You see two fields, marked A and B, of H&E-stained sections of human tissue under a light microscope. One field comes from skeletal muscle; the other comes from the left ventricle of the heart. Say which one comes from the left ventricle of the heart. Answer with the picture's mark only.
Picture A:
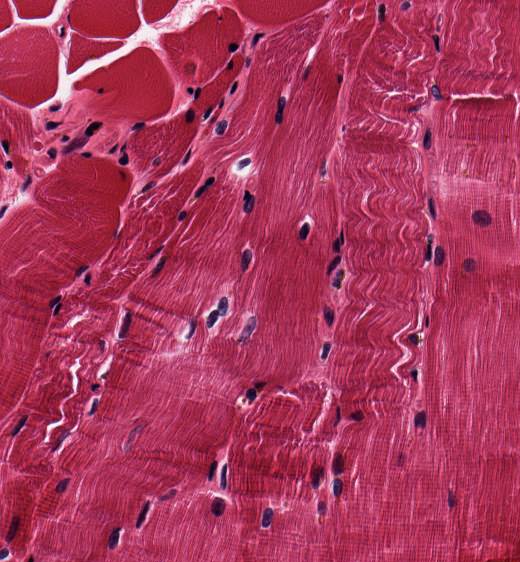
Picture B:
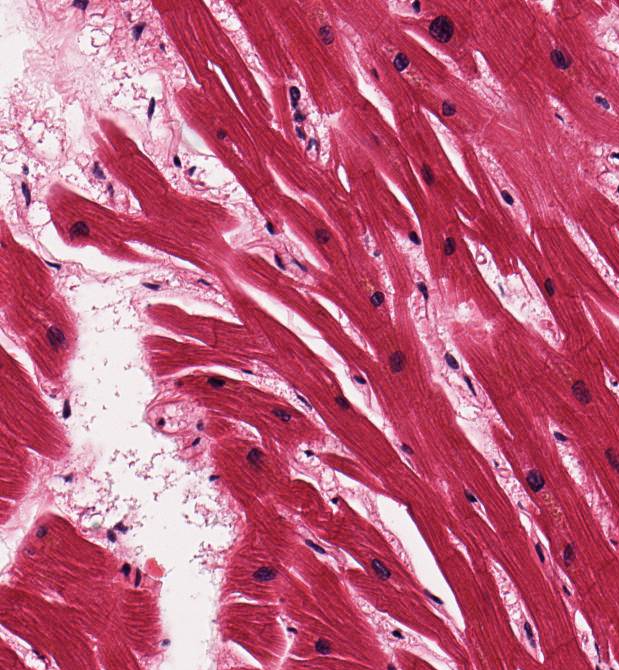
B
